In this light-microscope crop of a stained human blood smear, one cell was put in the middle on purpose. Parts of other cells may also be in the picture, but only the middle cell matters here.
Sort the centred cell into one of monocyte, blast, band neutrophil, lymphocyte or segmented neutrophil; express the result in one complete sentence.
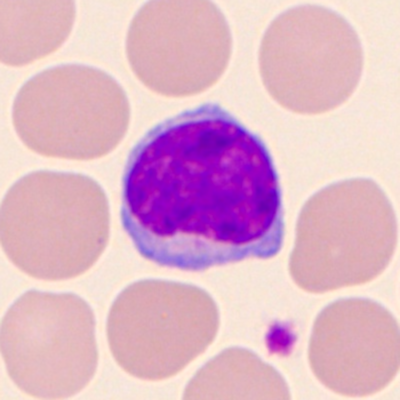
The central element of this crop is a cell, namely a lymphocyte.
